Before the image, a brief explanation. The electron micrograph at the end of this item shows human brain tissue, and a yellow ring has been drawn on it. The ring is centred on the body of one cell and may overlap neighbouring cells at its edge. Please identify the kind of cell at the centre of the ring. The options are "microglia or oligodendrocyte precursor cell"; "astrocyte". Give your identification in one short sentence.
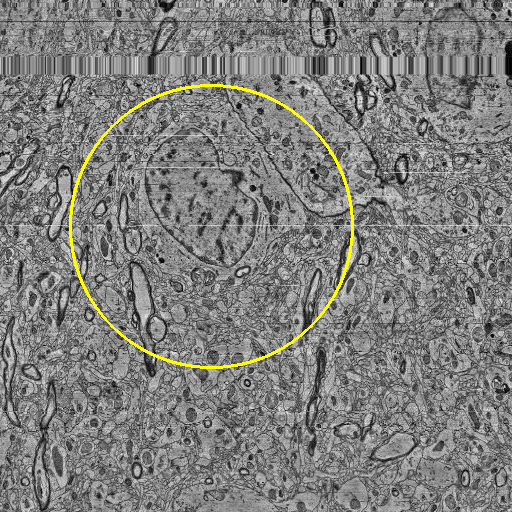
The ring has been placed around a microglial cell or oligodendrocyte precursor cell.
